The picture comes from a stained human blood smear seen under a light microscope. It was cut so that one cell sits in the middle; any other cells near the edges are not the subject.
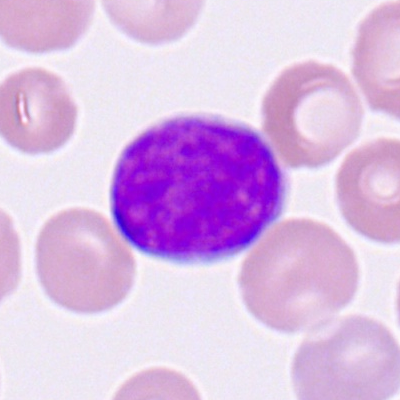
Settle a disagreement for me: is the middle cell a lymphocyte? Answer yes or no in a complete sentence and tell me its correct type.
No, the centre of the crop is taken up by a myeloblast, not a lymphocyte.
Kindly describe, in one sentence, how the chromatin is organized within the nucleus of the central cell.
The chromatin pattern here is coarse and clumped.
